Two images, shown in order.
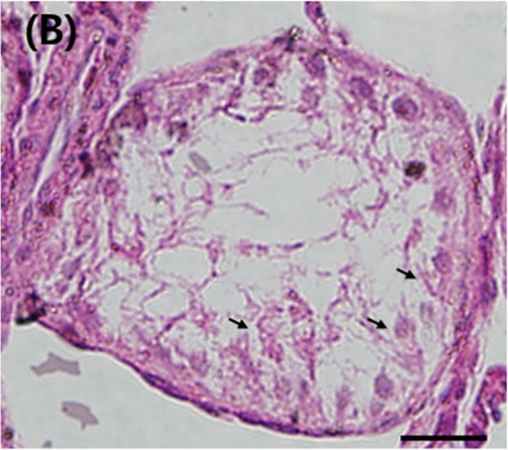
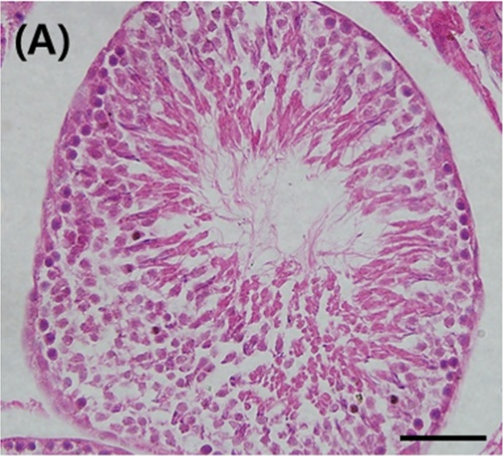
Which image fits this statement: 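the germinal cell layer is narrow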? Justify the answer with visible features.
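First image: few scattered nuclei remain and the tubule is filled by a pale, vacuolated meshwork. Second image: a thick, many-layered band of cells fills the tubule from the wall nearly to a small central lumen. So: the first image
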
